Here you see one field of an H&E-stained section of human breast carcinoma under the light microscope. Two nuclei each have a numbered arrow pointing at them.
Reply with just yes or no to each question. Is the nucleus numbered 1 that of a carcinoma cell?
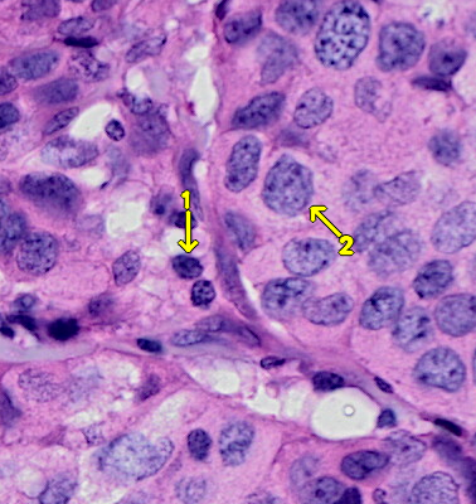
no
